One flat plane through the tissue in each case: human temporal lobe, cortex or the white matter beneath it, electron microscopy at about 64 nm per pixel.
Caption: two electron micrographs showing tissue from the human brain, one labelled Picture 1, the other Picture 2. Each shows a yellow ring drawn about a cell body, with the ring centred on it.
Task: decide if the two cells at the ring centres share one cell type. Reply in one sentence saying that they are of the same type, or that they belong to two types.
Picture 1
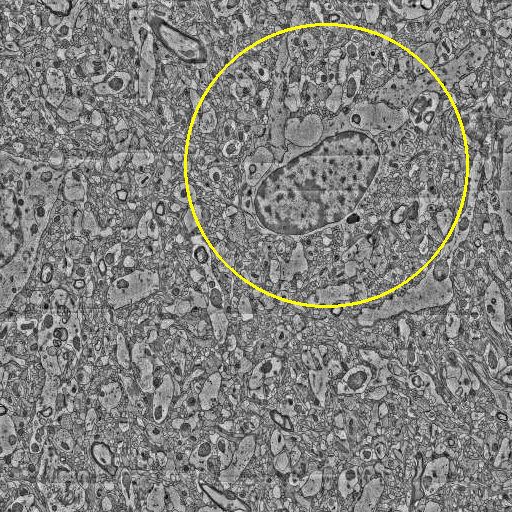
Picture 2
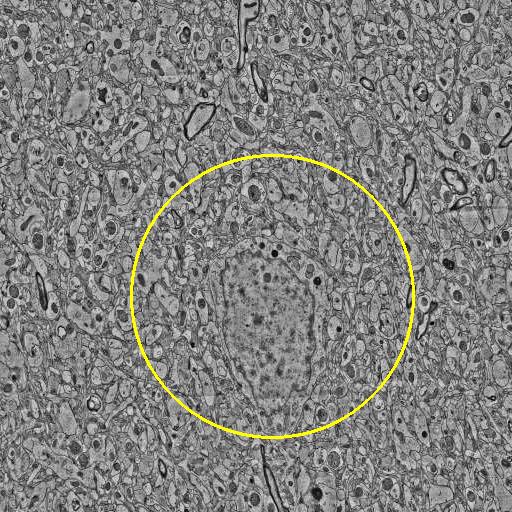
The cells at the ring centres in Picture 1 and Picture 2 belong to two types.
